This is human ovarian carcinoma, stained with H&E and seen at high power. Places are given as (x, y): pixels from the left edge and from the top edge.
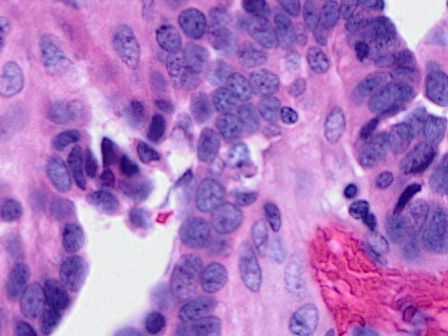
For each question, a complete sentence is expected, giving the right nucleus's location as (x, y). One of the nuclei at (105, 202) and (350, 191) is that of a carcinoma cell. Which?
Of the two nuclei present, the one at (105, 202) is within a carcinoma cell.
